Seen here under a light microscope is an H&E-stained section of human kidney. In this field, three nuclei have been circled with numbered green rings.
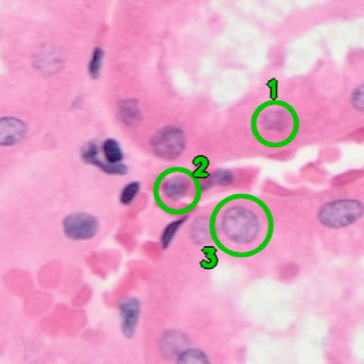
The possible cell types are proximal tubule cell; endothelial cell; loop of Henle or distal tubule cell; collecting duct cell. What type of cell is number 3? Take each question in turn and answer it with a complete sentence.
The label 3 in this section denotes a proximal tubule cell.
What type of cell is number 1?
The mark numbered 1 indicates the nucleus of a proximal tubule cell.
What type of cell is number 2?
Of the numbered cells, the one labelled 2 is an endothelial cell.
